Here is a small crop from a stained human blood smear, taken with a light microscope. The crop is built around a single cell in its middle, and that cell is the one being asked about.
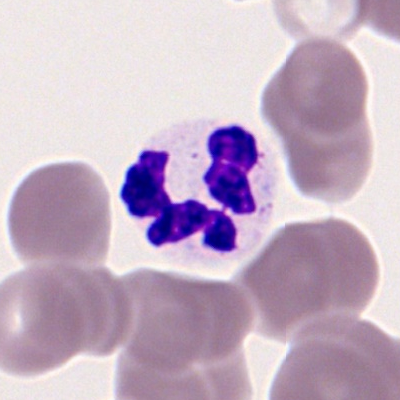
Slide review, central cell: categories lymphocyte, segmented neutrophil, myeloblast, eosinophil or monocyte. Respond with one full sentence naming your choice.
On this slide crop, the central cell is a segmented neutrophil.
